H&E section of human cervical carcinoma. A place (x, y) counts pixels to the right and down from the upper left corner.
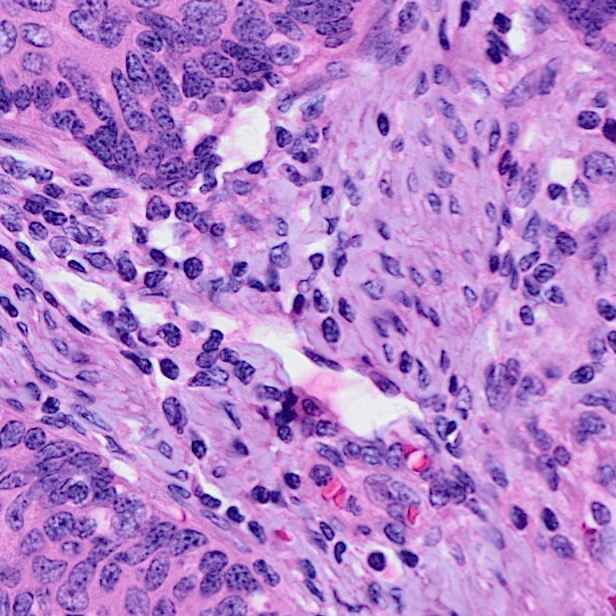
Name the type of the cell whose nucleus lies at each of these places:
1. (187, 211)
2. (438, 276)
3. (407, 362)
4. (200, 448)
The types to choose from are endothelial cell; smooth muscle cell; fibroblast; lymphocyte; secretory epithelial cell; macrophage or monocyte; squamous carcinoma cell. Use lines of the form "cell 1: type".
cell 1: lymphocyte
cell 2: smooth muscle cell
cell 3: lymphocyte
cell 4: lymphocyte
